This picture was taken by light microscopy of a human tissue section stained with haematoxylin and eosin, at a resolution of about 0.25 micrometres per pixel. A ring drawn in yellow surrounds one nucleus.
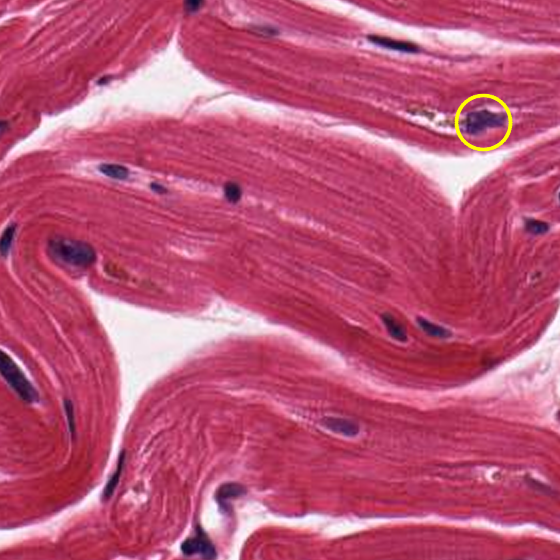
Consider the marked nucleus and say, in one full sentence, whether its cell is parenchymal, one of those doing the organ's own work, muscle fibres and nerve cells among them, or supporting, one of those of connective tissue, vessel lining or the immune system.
The marked nucleus belongs to a parenchymal cell, namely a cardiomyocyte.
